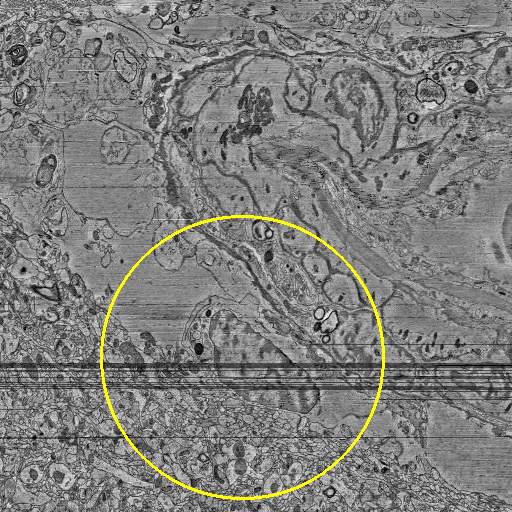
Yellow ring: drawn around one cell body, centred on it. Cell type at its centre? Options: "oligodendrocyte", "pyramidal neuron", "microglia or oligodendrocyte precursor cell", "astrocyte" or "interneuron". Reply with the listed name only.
microglia or oligodendrocyte precursor cell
